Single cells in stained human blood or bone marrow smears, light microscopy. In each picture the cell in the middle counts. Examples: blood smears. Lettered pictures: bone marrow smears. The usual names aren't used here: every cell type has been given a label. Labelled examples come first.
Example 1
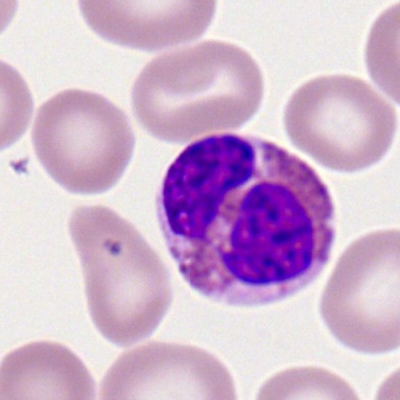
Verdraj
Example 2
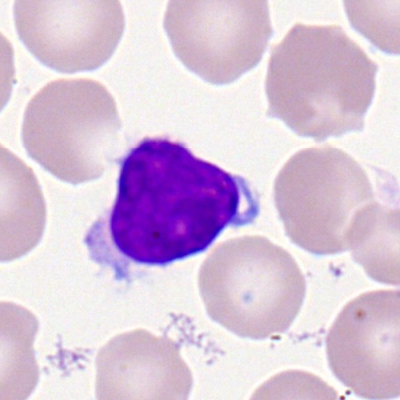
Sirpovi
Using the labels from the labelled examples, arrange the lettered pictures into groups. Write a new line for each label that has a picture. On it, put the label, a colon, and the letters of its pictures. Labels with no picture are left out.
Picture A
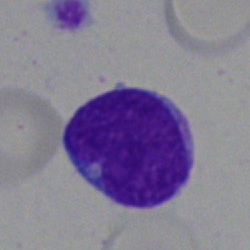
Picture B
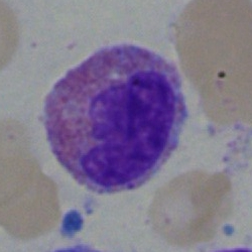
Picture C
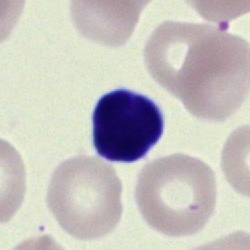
Verdraj: B
Sirpovi: A, C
